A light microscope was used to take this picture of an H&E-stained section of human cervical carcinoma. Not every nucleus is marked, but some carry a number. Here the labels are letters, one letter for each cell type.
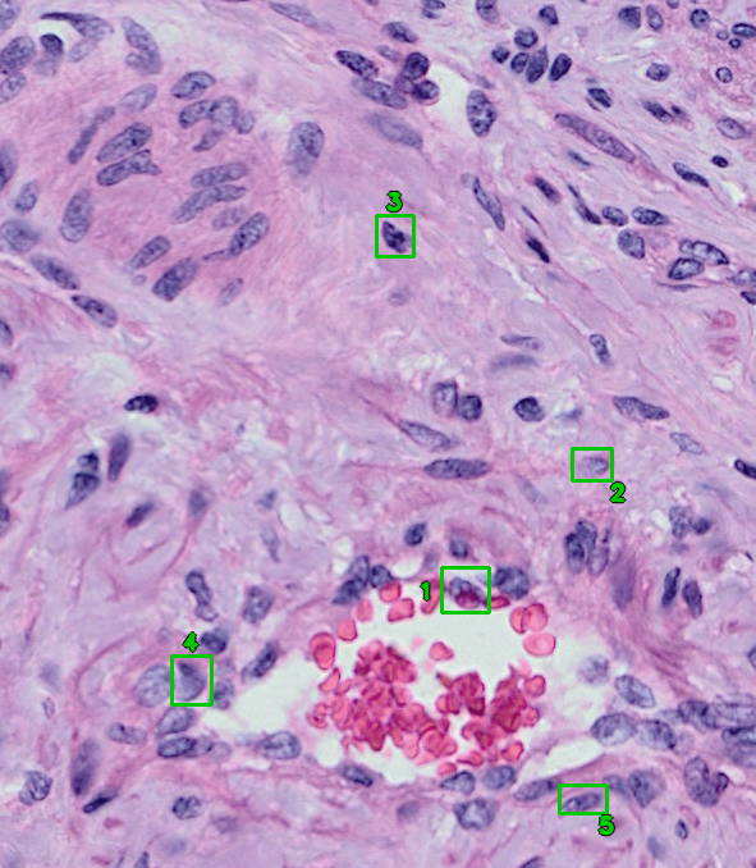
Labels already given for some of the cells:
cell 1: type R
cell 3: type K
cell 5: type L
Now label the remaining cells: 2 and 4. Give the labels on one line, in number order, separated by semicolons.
type L; type R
